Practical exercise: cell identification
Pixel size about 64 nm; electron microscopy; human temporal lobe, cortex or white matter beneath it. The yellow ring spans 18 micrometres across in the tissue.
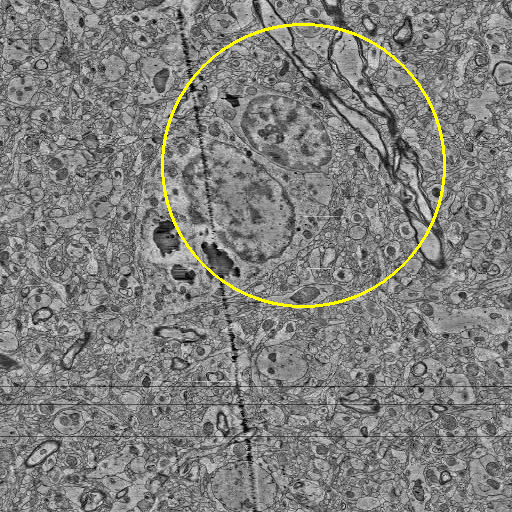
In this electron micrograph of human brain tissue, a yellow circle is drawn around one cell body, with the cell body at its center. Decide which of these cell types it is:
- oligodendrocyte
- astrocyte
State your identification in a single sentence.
The ringed cell is an oligodendrocyte.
